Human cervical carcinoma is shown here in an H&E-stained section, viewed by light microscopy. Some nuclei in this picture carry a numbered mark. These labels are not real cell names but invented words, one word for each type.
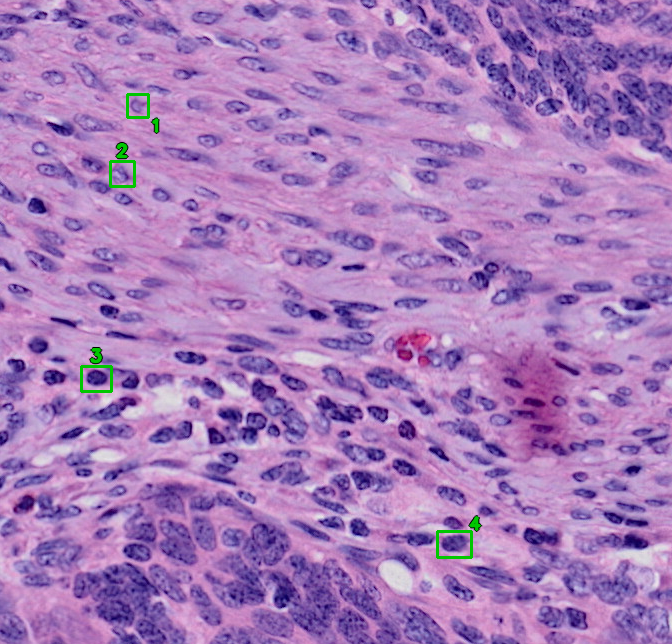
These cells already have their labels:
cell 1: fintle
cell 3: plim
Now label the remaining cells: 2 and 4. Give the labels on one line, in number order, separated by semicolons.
fintle; plim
